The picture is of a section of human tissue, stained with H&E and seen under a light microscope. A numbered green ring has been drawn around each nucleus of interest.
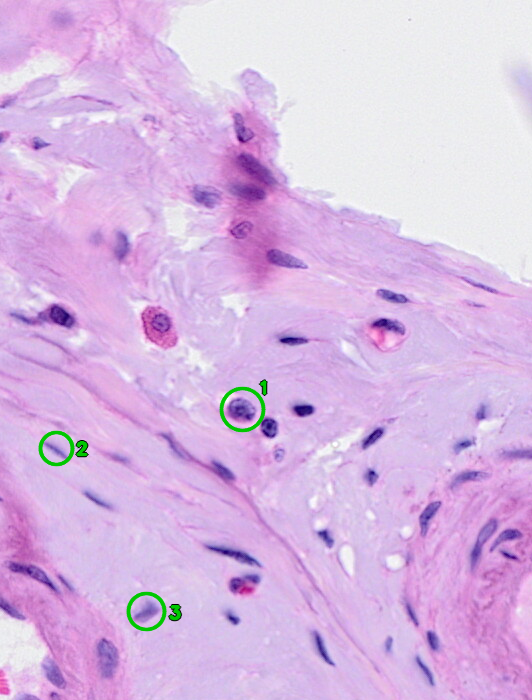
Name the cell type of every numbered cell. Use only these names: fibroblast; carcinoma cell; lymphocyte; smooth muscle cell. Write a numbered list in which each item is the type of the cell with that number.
1. lymphocyte
2. fibroblast
3. fibroblast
